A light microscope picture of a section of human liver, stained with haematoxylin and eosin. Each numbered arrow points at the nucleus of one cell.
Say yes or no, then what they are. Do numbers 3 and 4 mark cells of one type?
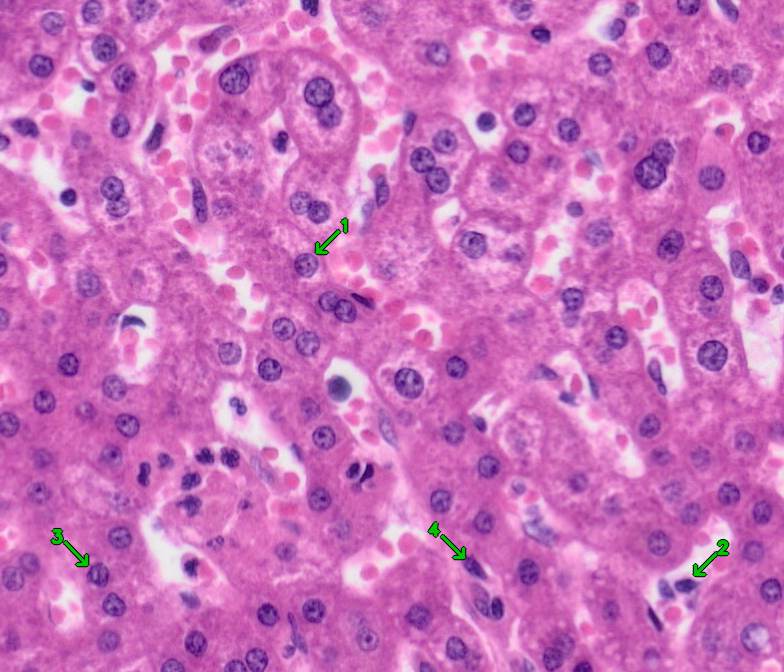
No, the identities are a hepatocyte for cell 3 and a fibroblast or stellate cell for cell 4.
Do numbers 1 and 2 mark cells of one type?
No, mate, cell 1 is a hepatocyte and cell 2 is a lymphocyte.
